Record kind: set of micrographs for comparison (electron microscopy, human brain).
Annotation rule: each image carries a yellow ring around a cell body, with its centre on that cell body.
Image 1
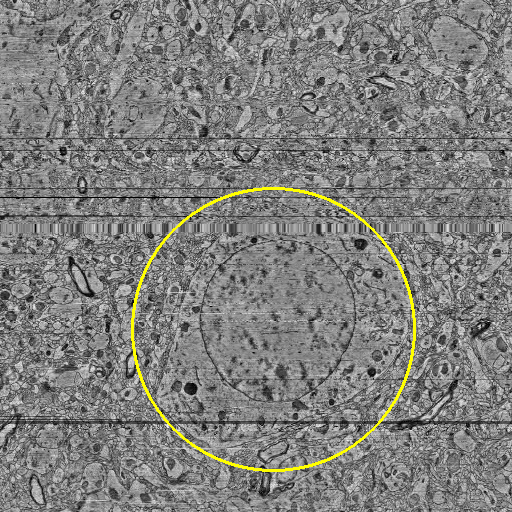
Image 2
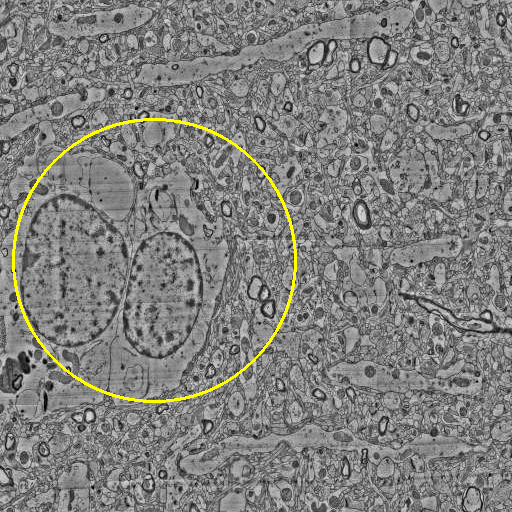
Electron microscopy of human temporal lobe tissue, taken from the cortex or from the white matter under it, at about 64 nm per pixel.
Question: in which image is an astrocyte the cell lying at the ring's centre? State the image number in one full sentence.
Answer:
In image 2, the ring is centred on the cell in question.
